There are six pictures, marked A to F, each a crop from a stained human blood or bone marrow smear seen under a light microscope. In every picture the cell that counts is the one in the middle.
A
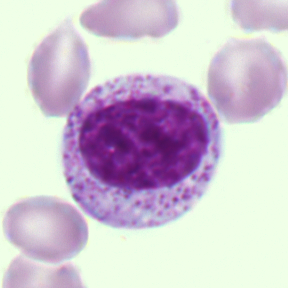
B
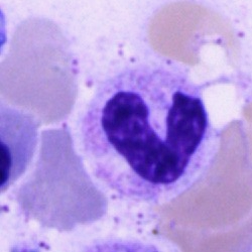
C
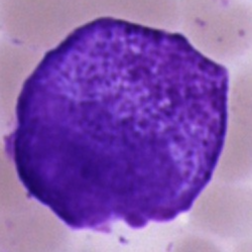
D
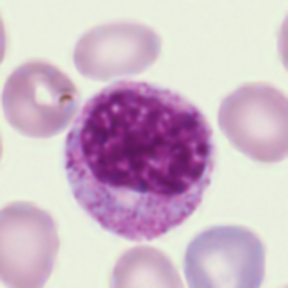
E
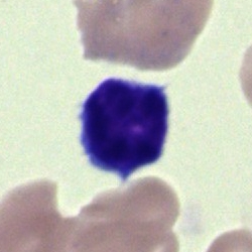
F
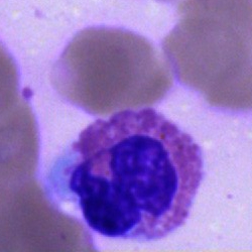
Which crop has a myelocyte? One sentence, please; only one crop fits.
Crop D, and no other, shows a myelocyte.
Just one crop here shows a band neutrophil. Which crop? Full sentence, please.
When the crops are compared, crop B is the one showing a band neutrophil.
